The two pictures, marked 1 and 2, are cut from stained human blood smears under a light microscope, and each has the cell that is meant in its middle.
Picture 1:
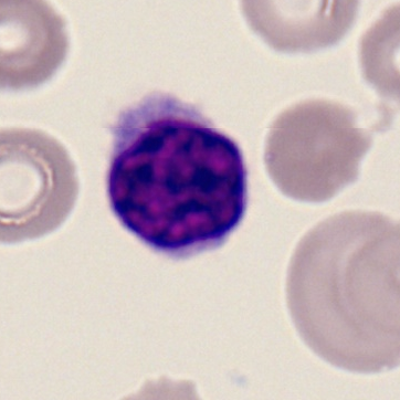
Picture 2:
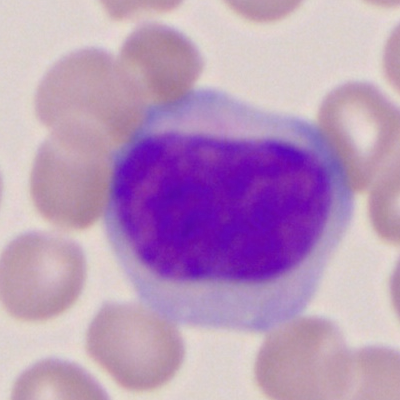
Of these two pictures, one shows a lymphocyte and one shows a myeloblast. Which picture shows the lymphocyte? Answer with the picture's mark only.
1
